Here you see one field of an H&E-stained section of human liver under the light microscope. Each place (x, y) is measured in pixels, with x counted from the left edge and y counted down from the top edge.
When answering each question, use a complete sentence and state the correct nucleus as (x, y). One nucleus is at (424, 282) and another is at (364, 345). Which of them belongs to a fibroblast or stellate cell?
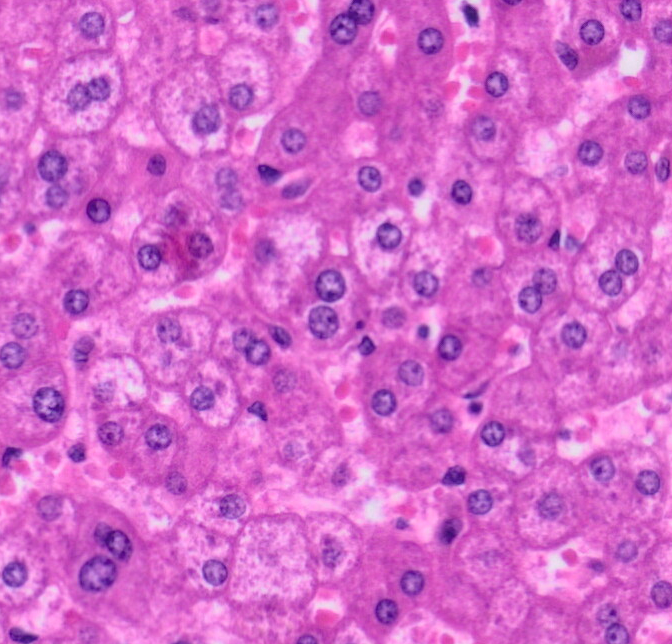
The nucleus at (364, 345) is the one of the two that belongs to a fibroblast or stellate cell.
